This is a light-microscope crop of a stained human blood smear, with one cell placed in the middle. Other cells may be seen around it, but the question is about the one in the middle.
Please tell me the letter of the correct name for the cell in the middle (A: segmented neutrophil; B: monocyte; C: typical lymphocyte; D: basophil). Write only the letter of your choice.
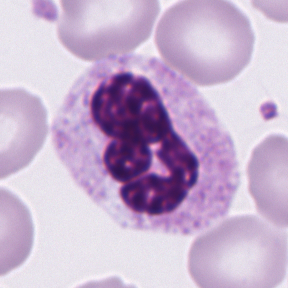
A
